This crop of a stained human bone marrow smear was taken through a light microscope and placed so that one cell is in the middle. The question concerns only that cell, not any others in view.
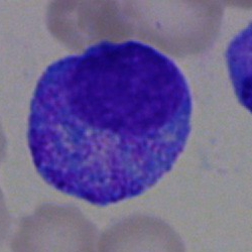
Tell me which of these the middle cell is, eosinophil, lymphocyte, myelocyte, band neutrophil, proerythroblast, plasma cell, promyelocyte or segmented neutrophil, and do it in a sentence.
The middle position in this crop is taken by a promyelocyte.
